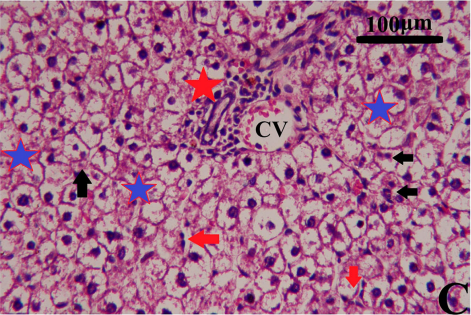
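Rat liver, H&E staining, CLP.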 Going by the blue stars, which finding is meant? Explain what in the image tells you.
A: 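The hepatocytes have pale, clear, largely empty-looking cytoplasm. Cell borders stand out as thin pink lines around swollen cells. On this evidence: degenerative and vacuolated hepatocytes.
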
